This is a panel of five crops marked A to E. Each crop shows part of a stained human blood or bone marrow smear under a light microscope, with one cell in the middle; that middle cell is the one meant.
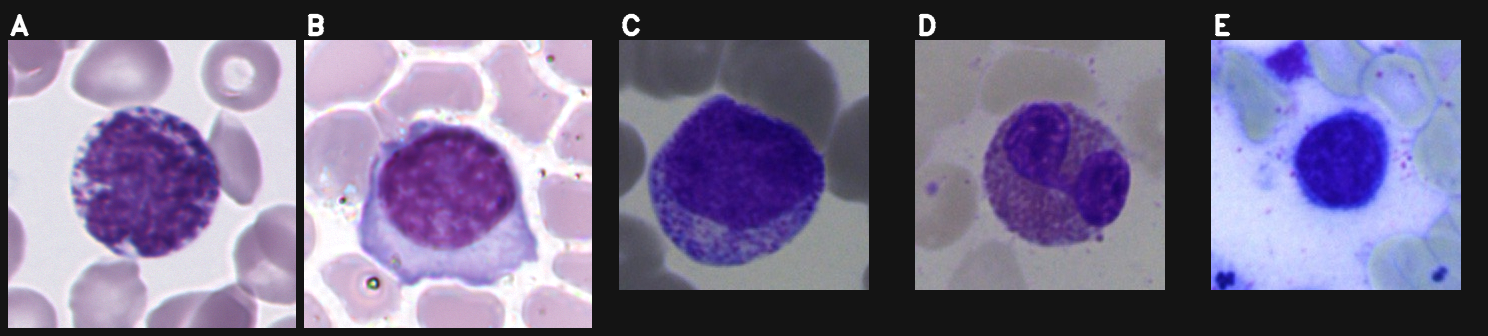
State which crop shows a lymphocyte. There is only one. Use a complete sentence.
Crop E is where a lymphocyte is to be found.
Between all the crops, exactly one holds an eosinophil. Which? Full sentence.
Crop D, of the crops presented, is the one showing an eosinophil.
